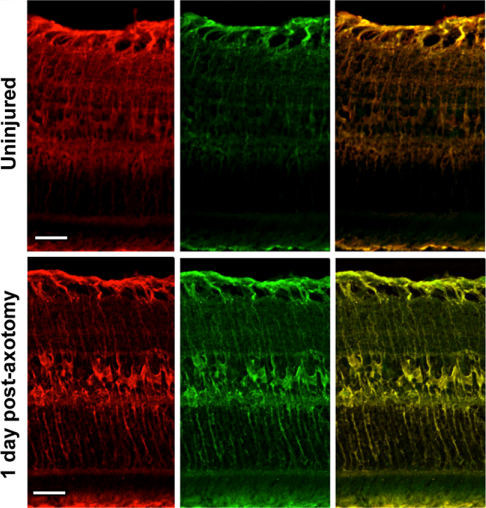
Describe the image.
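Red and green label the same structures, so the overlay is yellow-orange. Along the inner surface the cells widen into broad end-feet that form a continuous scalloped border around the round cell bodies of the innermost layer. From there slender parallel fibres run straight outward through the plexiform and nuclear layers. In the lower section the labelled cell bodies in the middle nuclear layer stand out as bright, irregular somata, and the radial fibres continue into the outer layers, forming a dense striated palisade.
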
